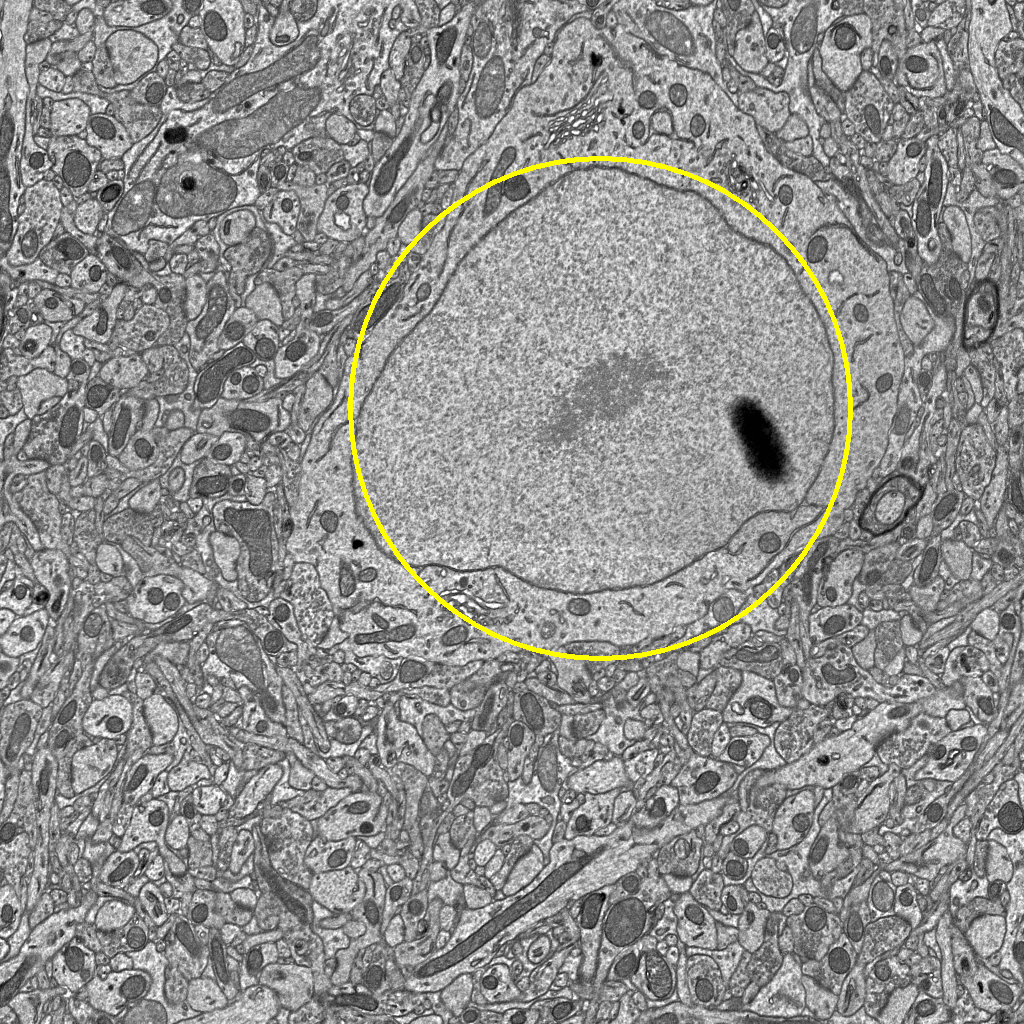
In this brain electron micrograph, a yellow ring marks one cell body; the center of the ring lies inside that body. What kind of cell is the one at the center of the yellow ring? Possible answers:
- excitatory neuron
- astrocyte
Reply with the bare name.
excitatory neuron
